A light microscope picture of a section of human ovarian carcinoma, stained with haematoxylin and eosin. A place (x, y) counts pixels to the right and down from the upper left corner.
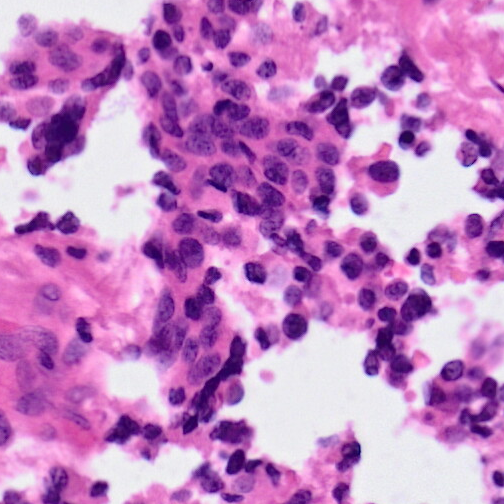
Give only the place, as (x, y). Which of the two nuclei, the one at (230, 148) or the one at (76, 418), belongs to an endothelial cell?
(76, 418)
